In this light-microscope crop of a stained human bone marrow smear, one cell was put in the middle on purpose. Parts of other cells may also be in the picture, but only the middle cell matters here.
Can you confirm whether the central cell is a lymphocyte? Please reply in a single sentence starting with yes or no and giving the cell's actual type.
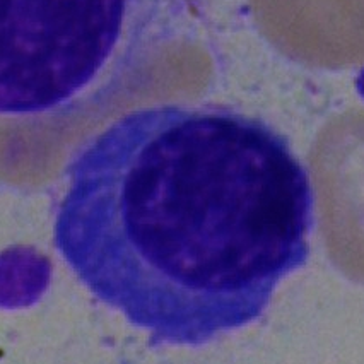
No, the central cell isn't a lymphocyte, but a plasma cell.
